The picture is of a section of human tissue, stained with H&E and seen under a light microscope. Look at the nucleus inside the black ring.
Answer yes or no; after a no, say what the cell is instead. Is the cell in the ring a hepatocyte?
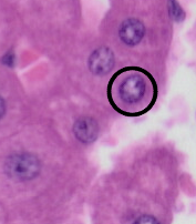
Yes.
